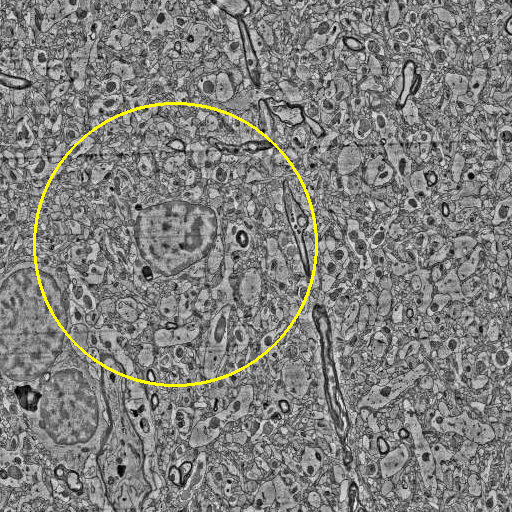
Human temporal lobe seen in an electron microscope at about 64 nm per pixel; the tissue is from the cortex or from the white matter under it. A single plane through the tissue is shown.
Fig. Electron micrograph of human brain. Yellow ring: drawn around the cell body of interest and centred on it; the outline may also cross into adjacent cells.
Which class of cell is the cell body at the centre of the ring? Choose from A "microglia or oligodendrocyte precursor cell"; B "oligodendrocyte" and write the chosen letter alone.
A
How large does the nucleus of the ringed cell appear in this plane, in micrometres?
Roughly 6 by 5 micrometres in this plane, for the nucleus of the ringed cell.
